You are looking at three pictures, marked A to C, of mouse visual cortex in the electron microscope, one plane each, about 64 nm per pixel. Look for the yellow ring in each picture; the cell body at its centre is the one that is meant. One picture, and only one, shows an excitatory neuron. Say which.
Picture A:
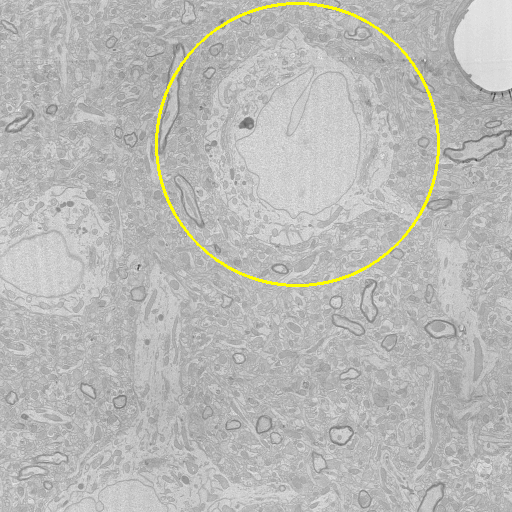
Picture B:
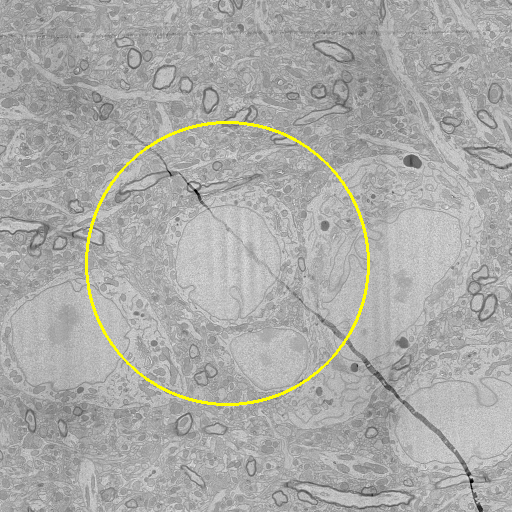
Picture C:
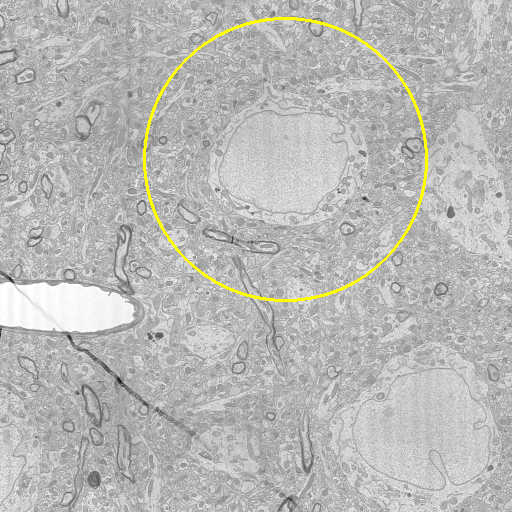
It is picture A that shows the excitatory neuron.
